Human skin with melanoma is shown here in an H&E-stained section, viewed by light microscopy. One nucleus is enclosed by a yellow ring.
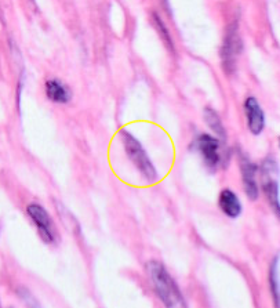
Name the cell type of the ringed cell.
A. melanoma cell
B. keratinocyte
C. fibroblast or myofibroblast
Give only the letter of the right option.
C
